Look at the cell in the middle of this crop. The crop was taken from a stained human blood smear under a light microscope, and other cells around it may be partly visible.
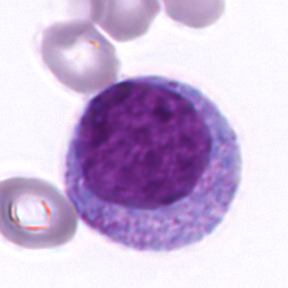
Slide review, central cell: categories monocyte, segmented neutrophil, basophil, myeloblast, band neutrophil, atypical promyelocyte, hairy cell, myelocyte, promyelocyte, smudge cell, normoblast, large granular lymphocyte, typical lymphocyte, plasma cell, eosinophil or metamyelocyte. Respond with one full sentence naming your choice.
The crop centres on a single cell, and that cell is a promyelocyte.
